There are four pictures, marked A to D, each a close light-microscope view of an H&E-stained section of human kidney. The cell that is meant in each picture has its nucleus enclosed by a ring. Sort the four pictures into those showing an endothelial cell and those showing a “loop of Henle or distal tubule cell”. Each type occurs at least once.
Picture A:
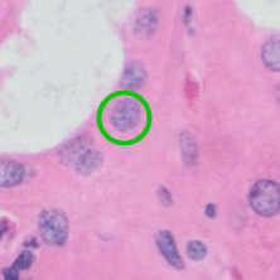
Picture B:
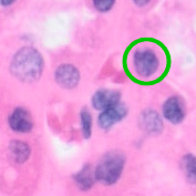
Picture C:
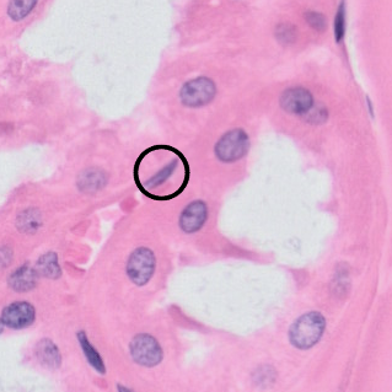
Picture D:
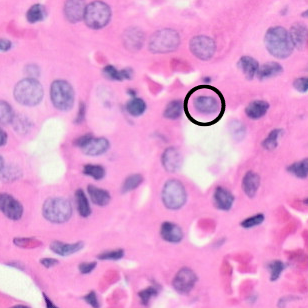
A: loop of Henle or distal tubule cell
B: loop of Henle or distal tubule cell
C: endothelial cell
D: loop of Henle or distal tubule cell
